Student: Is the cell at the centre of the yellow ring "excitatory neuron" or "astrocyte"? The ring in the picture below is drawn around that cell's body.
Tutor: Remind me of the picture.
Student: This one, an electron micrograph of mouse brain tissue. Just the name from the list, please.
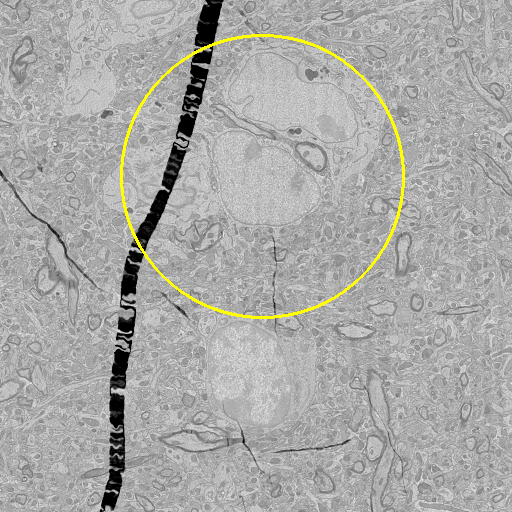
astrocyte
